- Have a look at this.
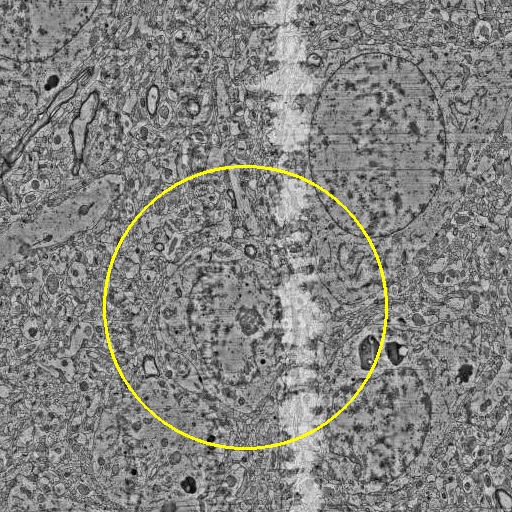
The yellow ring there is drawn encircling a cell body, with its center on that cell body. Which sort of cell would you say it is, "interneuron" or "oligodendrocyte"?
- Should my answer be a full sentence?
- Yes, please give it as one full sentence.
For this picture, an interneuron is the cell where the yellow ring has its center.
